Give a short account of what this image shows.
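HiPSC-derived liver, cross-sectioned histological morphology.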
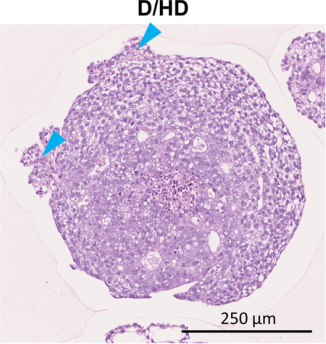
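Small clear spaces and a few pinker areas are scattered within the cell mass. At the periphery, small loose clusters of rounded cells protrude or lie detached from the surface. A clear halo separates the organoid from the surrounding pale embedding material.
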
